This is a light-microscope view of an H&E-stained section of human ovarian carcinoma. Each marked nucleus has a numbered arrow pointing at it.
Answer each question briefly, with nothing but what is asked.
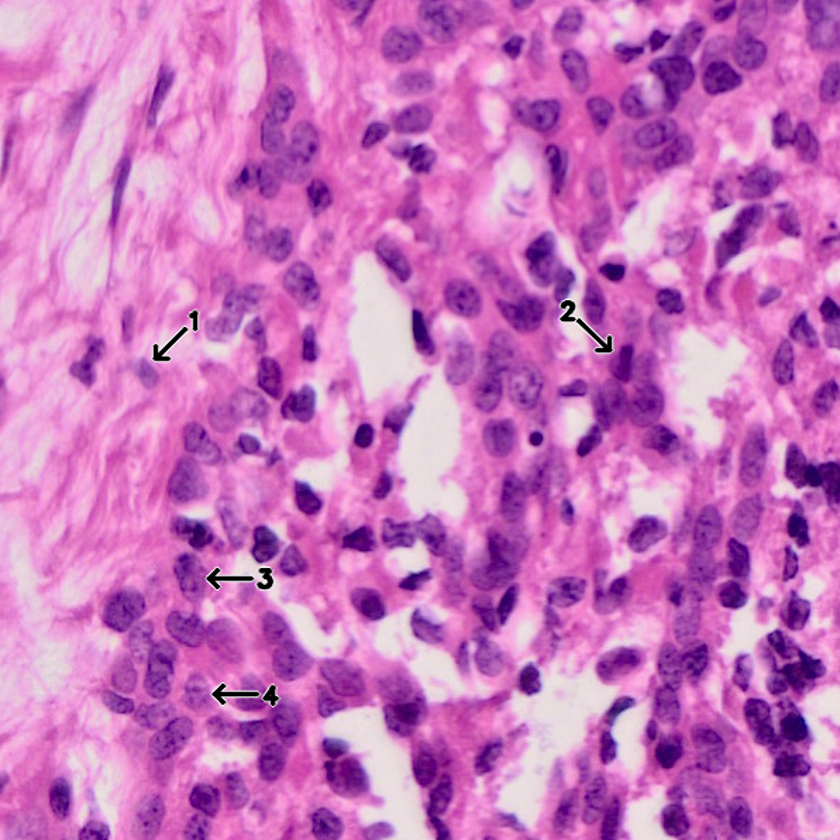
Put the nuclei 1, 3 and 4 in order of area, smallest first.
1, 4, 3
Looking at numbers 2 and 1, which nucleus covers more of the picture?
2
